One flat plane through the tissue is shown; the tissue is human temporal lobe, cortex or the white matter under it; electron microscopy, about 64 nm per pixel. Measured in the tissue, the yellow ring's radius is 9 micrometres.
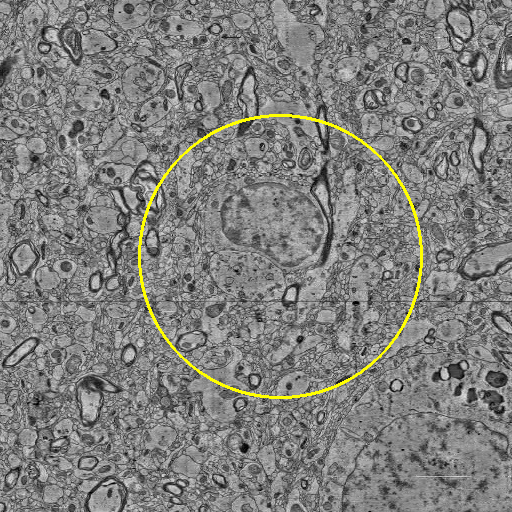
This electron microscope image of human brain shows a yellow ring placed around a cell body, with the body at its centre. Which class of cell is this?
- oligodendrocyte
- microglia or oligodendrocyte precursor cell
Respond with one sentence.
The cell body at the ring's centre is an oligodendrocyte.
